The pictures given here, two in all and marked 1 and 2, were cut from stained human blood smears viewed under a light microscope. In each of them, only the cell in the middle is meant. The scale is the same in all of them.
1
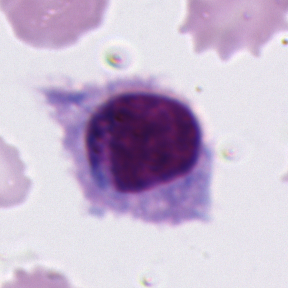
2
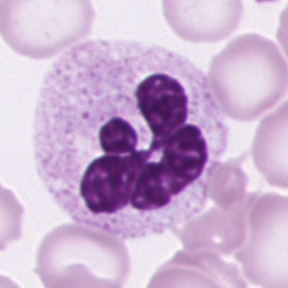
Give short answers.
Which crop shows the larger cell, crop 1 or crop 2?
2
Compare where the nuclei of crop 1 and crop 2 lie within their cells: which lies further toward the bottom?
2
